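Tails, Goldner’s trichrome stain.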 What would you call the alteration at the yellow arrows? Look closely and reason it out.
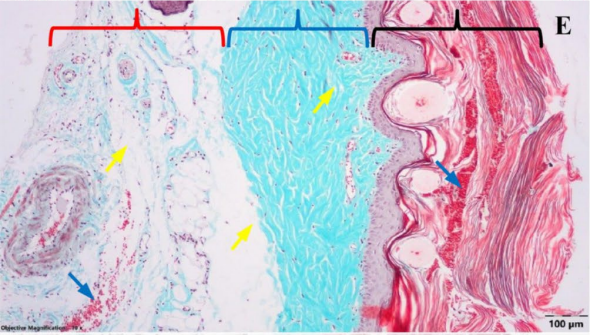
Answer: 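The yellow arrows point to clear spaces separating loosened fibres. The connective tissue there looks pale and widely spaced.
Hence: oedema.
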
